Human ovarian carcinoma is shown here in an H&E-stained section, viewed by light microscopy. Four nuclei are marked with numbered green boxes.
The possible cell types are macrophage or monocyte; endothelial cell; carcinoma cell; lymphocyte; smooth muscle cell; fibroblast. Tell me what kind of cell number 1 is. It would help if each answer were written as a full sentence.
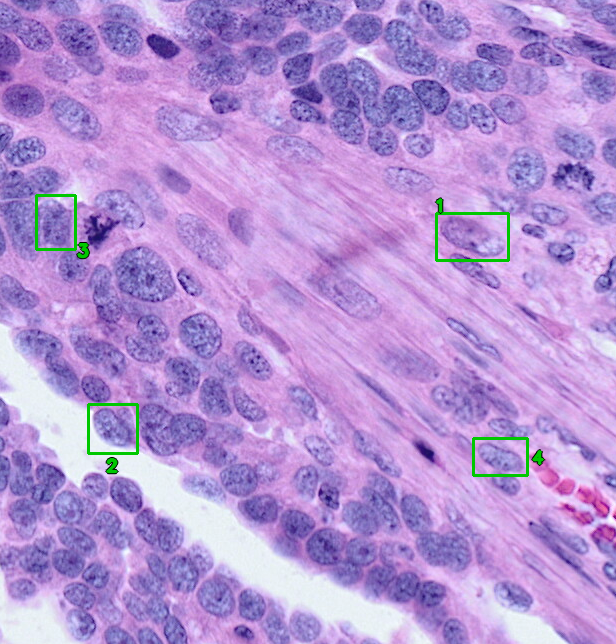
The cell whose nucleus carries the number 1 is a fibroblast.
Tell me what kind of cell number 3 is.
The numbered cell 3 is identified here as a carcinoma cell.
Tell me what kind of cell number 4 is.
The cell marked with number 4 is an endothelial cell.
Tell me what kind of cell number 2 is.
The identity of cell 2 is that of a carcinoma cell.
